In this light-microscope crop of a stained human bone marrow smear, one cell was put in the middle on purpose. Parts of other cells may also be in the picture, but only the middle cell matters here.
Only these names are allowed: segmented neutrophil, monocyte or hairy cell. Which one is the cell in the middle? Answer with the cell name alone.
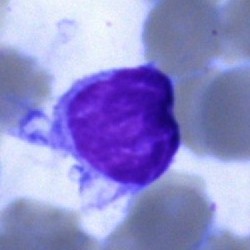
hairy cell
